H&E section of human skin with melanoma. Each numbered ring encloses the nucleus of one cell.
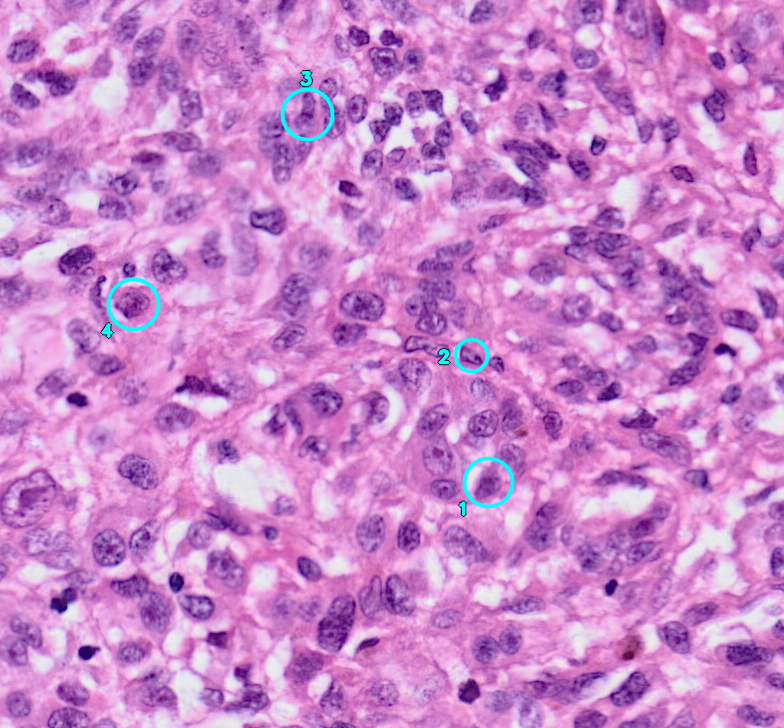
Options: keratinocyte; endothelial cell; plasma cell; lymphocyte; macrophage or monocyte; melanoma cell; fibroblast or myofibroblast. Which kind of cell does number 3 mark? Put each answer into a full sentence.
The cell pointed out as number 3 is a melanoma cell.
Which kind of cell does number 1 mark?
The cell bearing label 1 corresponds to a melanoma cell.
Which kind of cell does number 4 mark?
The numbered cell 4 in this field is a melanoma cell.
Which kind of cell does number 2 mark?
Number 2 among the marked cells is a macrophage or monocyte.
